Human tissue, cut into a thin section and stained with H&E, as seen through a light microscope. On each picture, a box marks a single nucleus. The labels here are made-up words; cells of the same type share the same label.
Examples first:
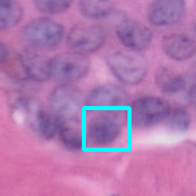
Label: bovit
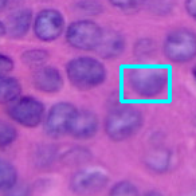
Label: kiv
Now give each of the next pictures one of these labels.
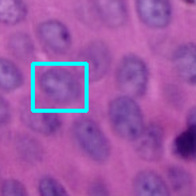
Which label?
kiv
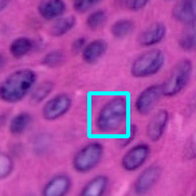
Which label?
kiv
